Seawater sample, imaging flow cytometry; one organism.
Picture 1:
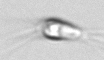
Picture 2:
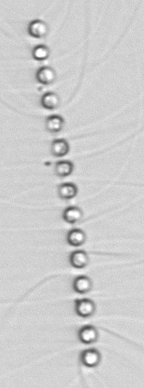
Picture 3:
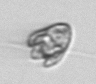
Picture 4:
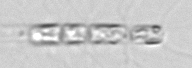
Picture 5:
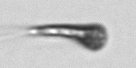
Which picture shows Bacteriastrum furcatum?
Picture 4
